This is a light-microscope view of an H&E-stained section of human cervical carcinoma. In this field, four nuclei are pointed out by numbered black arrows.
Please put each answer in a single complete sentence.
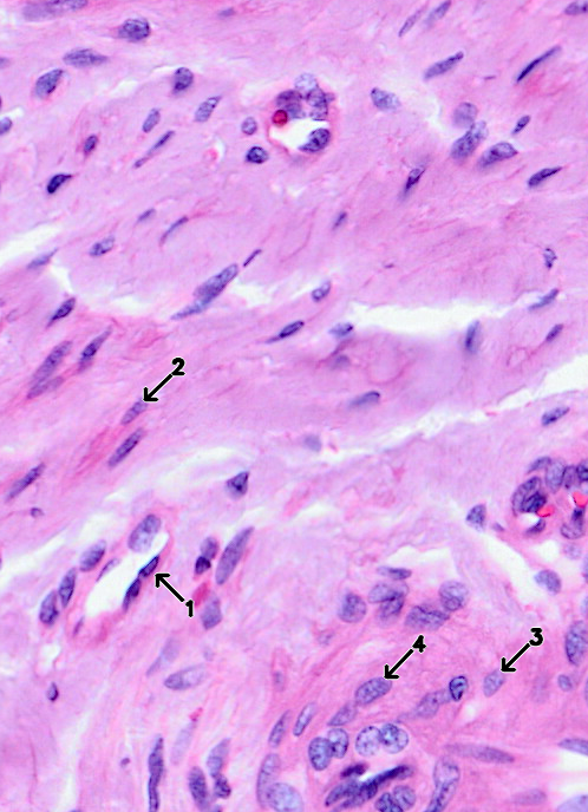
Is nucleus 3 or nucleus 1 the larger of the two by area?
Number 3 is larger; its area is about 1.5 times that of number 1.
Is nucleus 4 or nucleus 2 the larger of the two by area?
Nucleus 4 is the larger one, covering about 2.5 times the area of nucleus 2.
